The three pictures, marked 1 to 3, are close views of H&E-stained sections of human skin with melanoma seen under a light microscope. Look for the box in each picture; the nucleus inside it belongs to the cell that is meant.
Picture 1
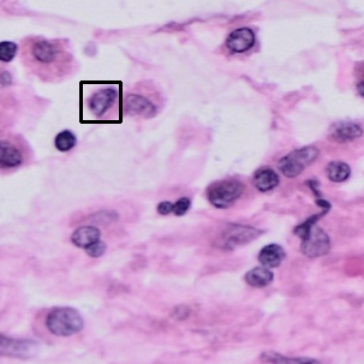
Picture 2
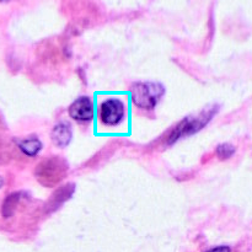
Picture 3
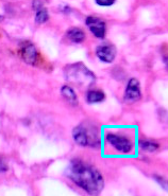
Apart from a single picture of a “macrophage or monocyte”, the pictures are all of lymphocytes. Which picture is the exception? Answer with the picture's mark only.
1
